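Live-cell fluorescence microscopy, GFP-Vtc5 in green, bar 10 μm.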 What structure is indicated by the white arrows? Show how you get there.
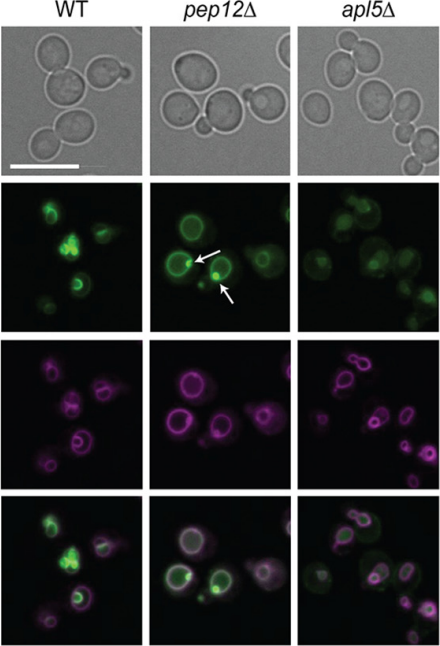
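Small bright green dots sit at the edge of the green-rimmed ring in a cell. The arrows point to discrete dots, not to the continuous ring.
Answer: Puncta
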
